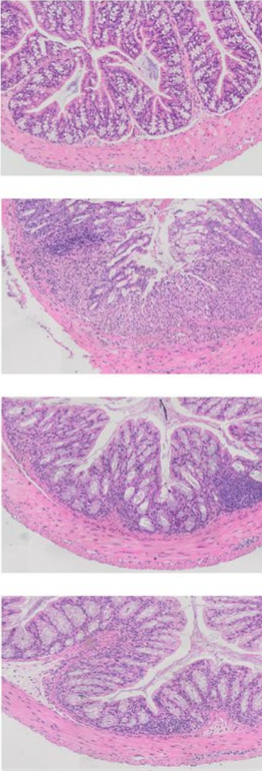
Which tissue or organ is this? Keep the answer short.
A: colon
